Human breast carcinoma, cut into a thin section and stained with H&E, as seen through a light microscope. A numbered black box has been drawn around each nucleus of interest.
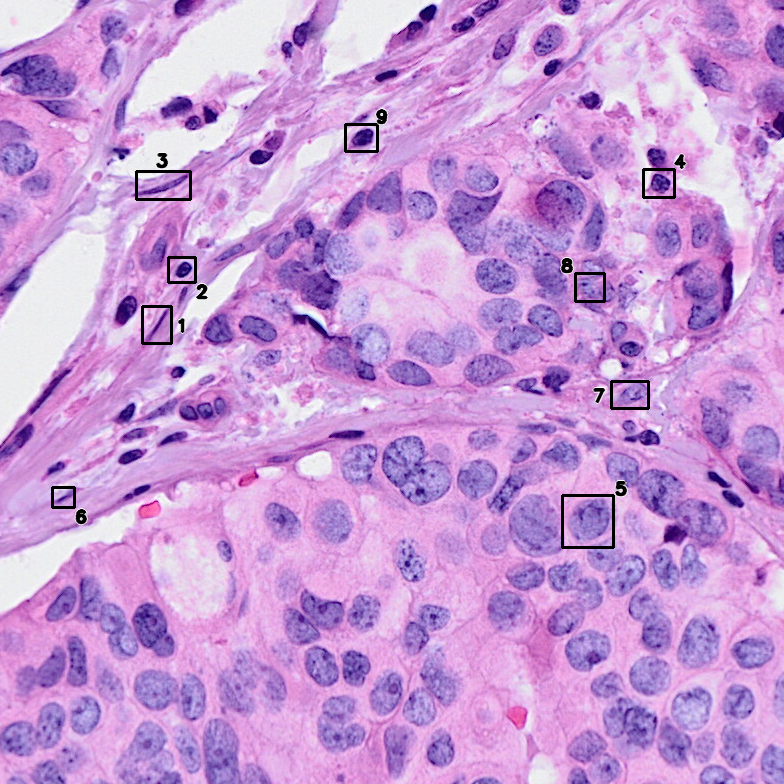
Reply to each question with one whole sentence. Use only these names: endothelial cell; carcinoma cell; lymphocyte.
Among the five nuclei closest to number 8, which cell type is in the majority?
Of the five nuclei nearest to number 8, most belong to endothelial cells.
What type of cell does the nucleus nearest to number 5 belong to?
The cell nearest to number 5 is a carcinoma cell.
